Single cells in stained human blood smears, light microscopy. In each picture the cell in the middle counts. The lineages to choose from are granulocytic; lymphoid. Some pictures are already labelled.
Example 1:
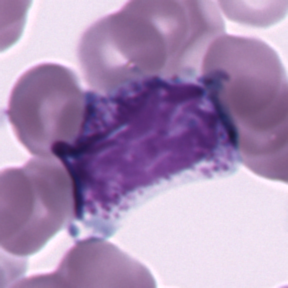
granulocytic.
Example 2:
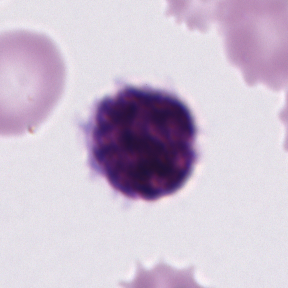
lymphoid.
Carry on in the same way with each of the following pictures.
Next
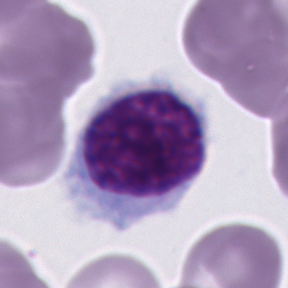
lymphoid.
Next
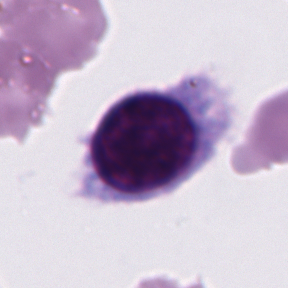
lymphoid.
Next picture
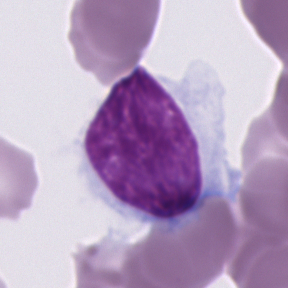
lymphoid.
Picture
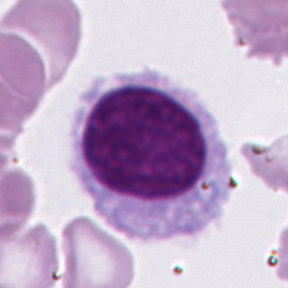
lymphoid.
